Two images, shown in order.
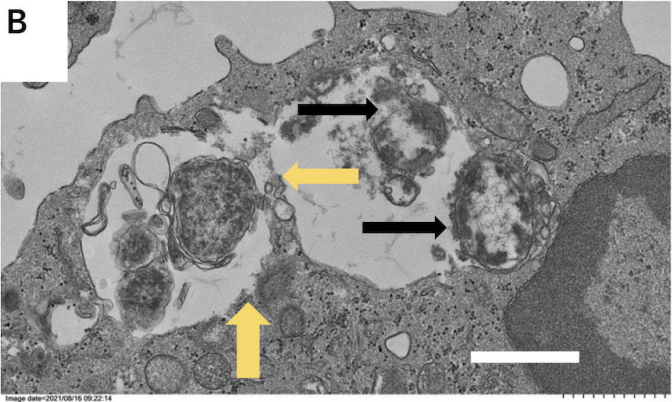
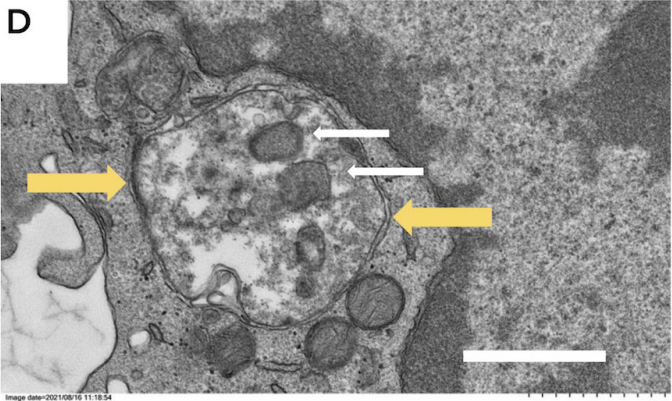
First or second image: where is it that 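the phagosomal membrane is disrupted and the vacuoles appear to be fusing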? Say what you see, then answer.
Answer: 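Second image: a single vacuole is bounded by a continuous membrane. First image: several large vacuoles lie side by side with interrupted boundaries between them.
Conclusion: the first image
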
